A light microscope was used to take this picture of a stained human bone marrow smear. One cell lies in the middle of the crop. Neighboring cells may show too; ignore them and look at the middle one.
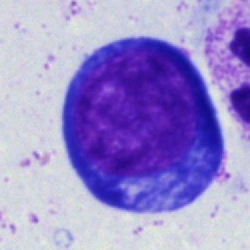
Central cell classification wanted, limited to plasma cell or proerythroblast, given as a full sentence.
The middle cell in this particular crop is a proerythroblast.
